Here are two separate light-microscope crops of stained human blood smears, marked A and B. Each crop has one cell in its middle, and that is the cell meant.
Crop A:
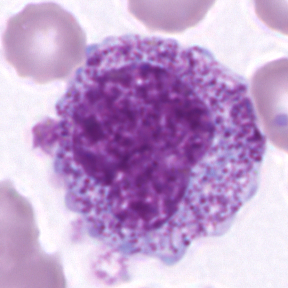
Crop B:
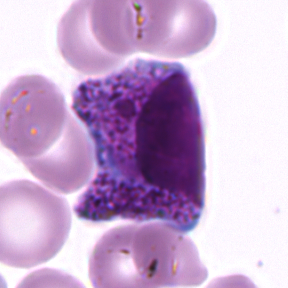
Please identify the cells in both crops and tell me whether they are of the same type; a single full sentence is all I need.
Yes, the middle cells in both crops are indeed promyelocytes.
